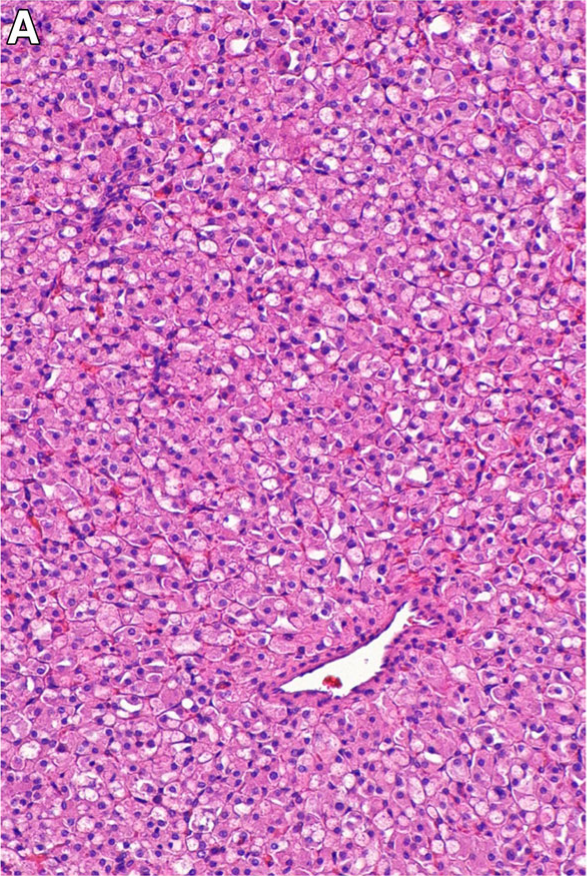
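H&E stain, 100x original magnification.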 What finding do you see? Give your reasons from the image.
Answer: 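A solid sheet of cells with pink cytoplasm and distinct borders. Scattered cells show pale, clear cytoplasmic spaces.
Abundant eosinophilic cytoplasm that is partially vacuolated.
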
